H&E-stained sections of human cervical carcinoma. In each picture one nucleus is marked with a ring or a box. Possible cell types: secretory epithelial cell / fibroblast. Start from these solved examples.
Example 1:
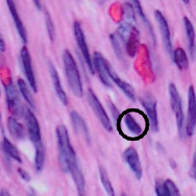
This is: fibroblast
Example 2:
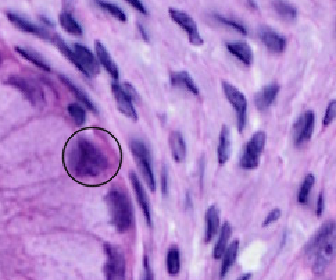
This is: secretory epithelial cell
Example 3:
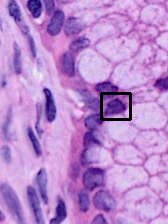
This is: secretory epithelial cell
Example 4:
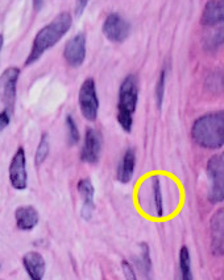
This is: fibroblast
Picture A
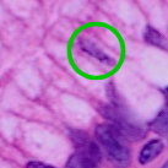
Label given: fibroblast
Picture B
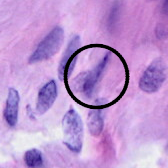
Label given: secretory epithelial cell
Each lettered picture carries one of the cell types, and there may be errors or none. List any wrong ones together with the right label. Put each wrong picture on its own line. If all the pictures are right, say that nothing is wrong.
A: secretory epithelial cell, not fibroblast
B: fibroblast, not secretory epithelial cell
